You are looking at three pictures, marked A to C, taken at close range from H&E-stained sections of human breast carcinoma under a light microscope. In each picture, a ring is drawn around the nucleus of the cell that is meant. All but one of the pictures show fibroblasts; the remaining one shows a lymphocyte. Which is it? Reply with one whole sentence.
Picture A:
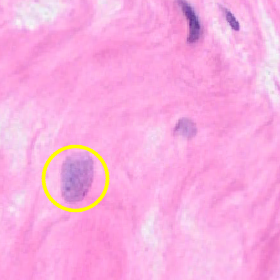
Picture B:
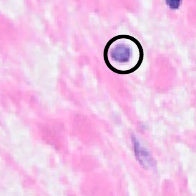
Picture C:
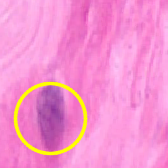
It is picture B that shows the lymphocyte.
